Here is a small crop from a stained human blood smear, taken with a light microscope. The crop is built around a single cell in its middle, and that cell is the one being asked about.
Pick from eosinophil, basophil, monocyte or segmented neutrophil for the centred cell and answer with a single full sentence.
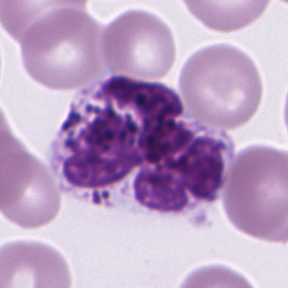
Standing at the centre of this crop is a basophil.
